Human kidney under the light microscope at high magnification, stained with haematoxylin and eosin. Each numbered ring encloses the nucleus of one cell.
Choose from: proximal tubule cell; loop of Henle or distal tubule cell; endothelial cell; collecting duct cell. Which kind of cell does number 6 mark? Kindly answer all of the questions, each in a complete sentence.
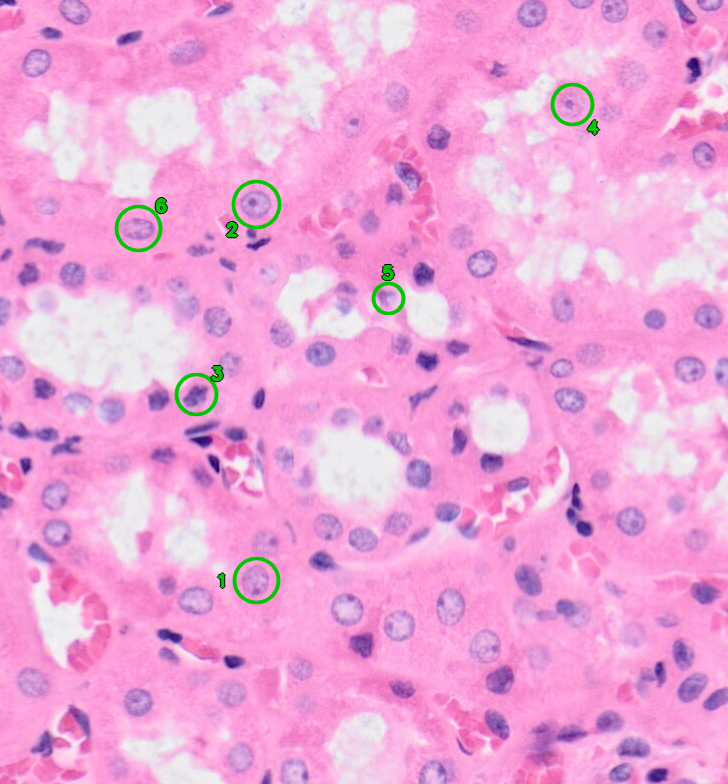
In the tissue shown, cell 6 is a proximal tubule cell.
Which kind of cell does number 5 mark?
The cell that goes by number 5 is a loop of Henle or distal tubule cell.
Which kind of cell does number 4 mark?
The one numbered 4 among the marked cells is a proximal tubule cell.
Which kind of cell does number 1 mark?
The cell identified by number 1 is a proximal tubule cell.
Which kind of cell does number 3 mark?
In the marked set, the cell given number 3 is a loop of Henle or distal tubule cell.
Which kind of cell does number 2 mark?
It is as a proximal tubule cell that the cell numbered 2 is identified.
